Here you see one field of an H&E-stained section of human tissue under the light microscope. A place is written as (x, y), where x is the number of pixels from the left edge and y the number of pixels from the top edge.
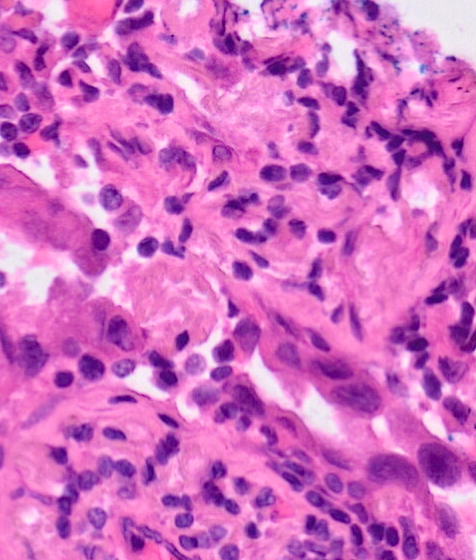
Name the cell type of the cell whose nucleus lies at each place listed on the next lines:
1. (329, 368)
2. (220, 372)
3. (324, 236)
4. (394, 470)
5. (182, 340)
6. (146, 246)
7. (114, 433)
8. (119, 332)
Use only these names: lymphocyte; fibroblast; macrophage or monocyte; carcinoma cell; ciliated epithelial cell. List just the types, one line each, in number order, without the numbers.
carcinoma cell
lymphocyte
lymphocyte
carcinoma cell
lymphocyte
lymphocyte
lymphocyte
carcinoma cell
